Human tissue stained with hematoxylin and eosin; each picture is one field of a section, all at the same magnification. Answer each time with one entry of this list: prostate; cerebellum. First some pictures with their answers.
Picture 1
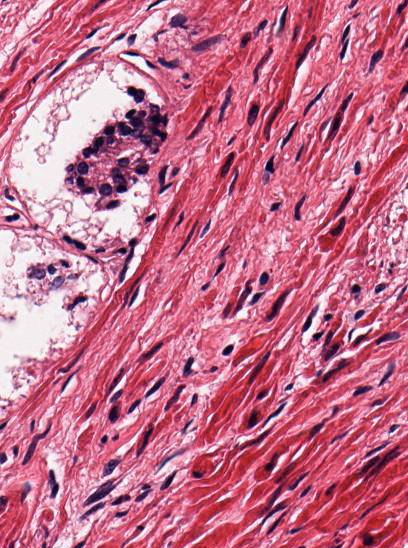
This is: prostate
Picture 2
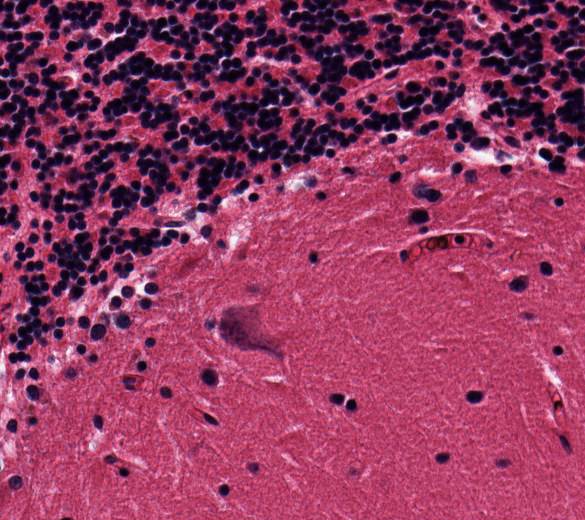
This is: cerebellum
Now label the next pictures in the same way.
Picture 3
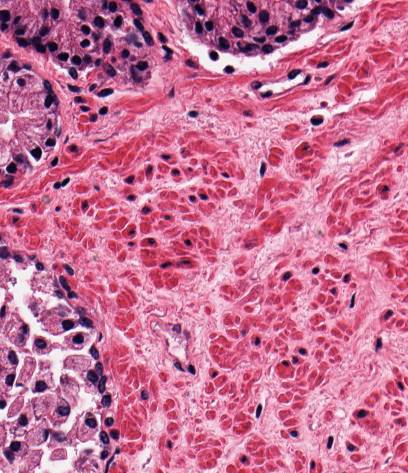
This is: prostate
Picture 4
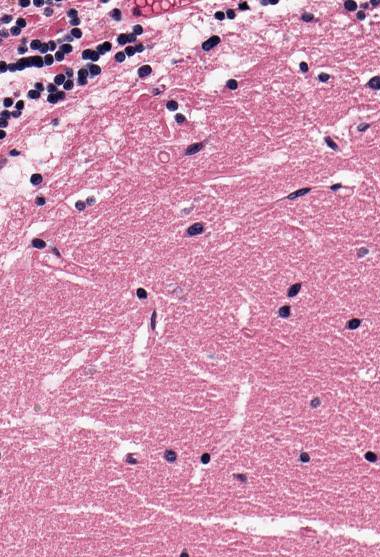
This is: cerebellum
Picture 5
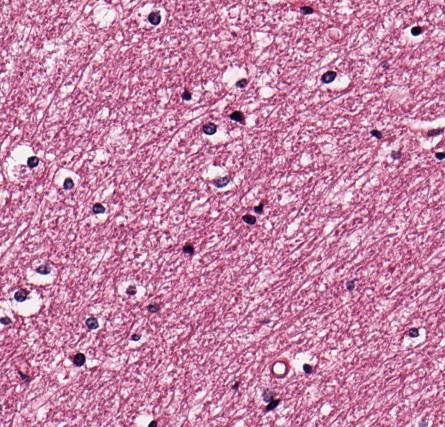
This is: cerebellum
